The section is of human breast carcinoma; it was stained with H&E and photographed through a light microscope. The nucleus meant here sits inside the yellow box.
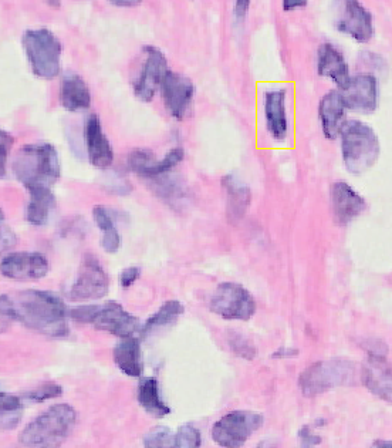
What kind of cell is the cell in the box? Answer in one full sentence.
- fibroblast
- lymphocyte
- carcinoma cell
In the stained section, the cell in the box is a lymphocyte.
